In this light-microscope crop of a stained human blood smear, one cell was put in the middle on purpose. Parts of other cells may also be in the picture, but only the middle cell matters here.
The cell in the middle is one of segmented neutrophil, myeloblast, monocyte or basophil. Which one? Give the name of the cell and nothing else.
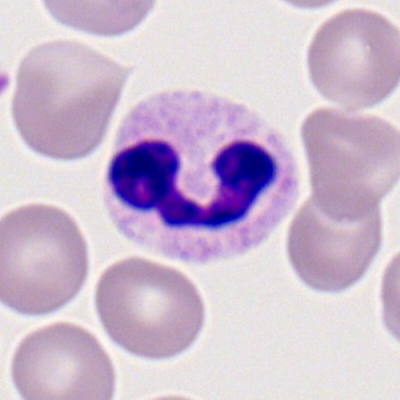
segmented neutrophil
